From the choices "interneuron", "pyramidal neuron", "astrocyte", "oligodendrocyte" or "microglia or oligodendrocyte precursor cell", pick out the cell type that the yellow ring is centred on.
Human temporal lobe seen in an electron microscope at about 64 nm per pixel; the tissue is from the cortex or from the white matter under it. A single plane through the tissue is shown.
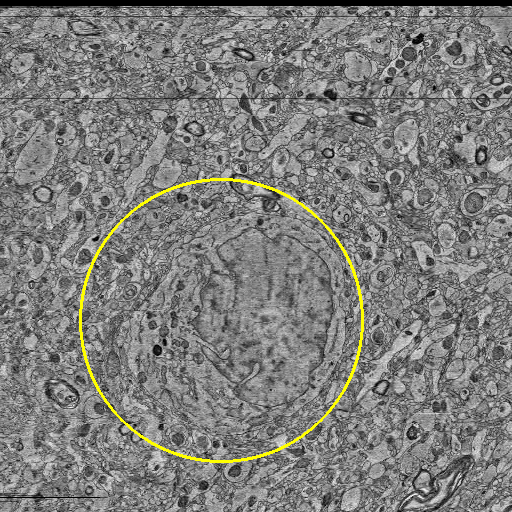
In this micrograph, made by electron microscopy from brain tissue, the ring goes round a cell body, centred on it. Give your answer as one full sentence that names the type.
The yellow ring is centred on an interneuron, whose cell body it encircles in the picture.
